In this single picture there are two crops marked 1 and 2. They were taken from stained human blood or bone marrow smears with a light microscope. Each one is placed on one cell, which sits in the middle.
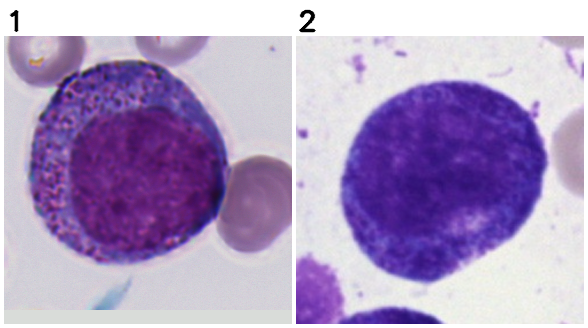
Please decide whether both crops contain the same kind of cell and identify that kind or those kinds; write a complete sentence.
Yes, the two central cells, one per crop, are promyelocytes.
